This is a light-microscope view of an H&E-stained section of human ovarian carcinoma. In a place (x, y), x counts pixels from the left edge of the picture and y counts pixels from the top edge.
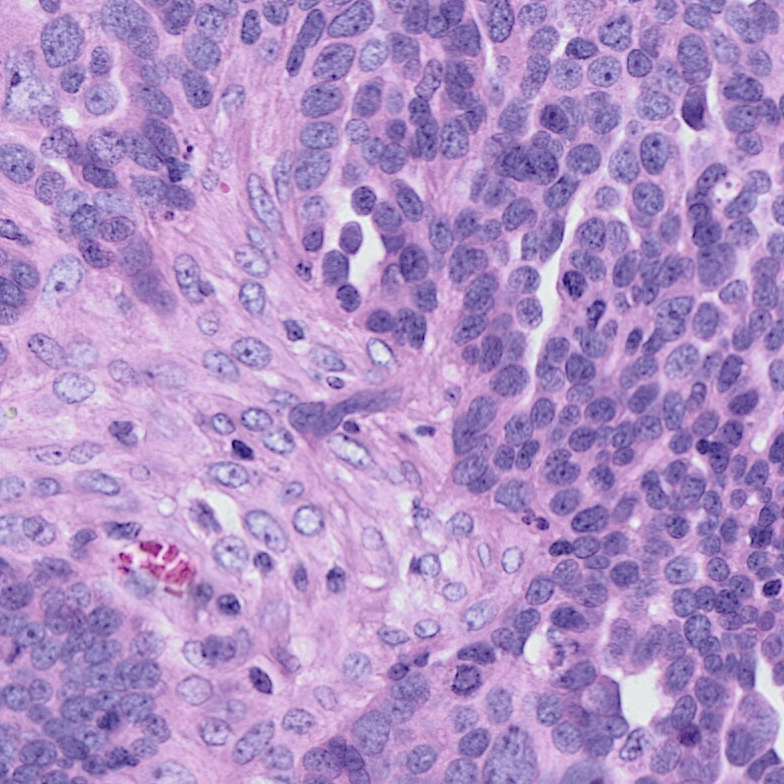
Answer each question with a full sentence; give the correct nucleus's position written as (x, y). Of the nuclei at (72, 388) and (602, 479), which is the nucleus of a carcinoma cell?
Of the two nuclei, the nucleus of a carcinoma cell is at (602, 479).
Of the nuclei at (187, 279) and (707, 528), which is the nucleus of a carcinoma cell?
The nucleus that belongs to a carcinoma cell sits at (707, 528).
